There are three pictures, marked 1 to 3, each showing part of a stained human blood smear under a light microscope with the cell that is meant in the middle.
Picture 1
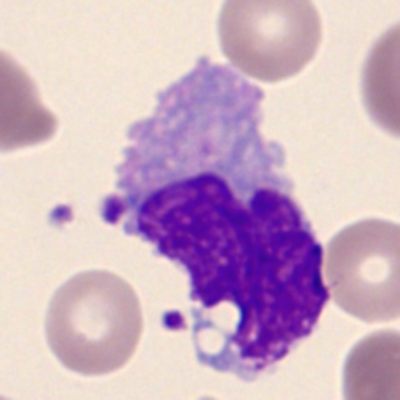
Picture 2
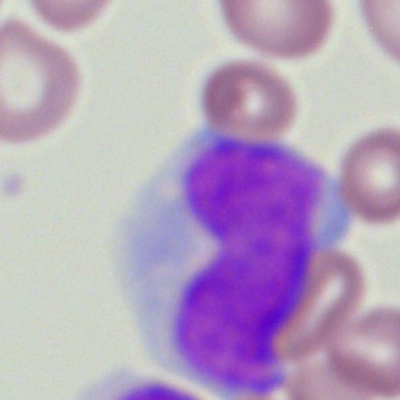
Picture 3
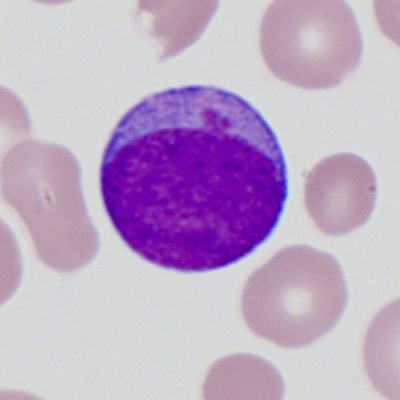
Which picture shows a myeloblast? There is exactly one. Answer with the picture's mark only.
3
